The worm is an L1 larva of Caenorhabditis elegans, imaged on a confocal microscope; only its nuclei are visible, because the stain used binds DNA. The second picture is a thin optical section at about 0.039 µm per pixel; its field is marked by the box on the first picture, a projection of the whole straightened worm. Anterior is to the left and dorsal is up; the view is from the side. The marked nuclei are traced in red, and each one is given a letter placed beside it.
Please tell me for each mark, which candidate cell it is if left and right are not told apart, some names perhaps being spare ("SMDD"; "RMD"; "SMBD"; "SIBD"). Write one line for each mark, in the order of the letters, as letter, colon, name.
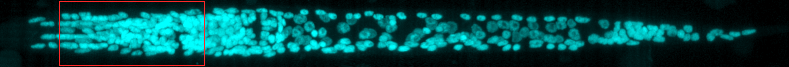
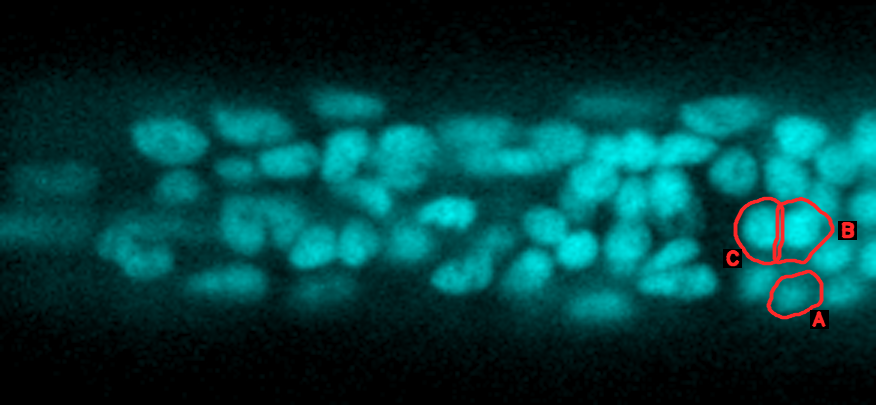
A: SMDD
B: SIBD
C: RMD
